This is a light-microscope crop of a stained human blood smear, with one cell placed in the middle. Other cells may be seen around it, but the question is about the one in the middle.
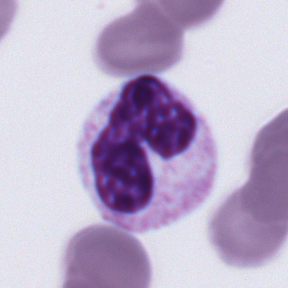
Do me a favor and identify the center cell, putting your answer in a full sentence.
The cell of interest, in the center, is a neutrophil.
